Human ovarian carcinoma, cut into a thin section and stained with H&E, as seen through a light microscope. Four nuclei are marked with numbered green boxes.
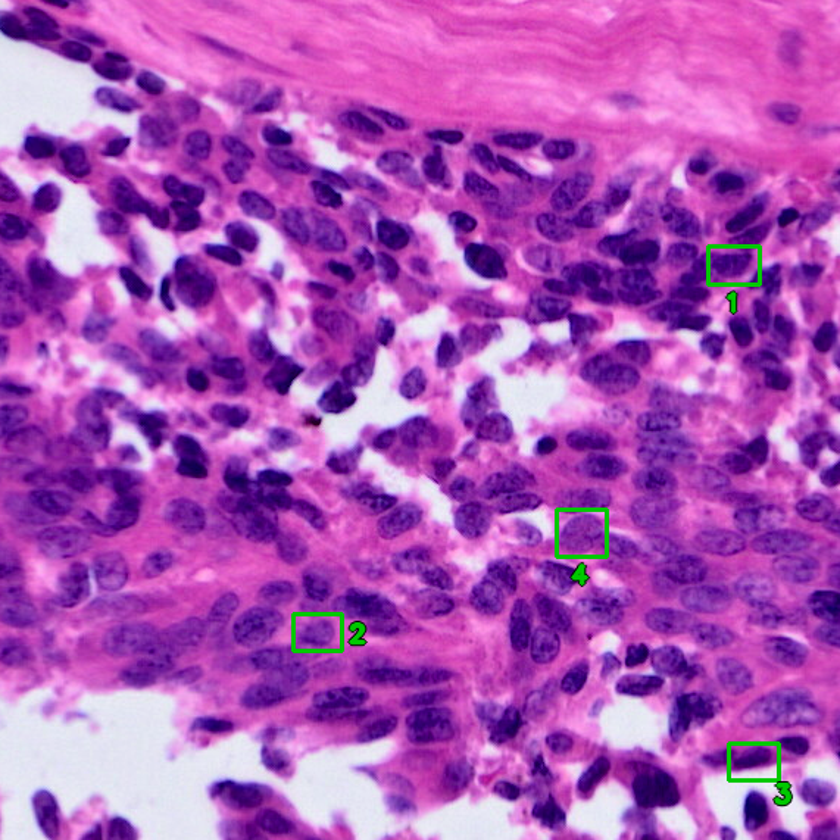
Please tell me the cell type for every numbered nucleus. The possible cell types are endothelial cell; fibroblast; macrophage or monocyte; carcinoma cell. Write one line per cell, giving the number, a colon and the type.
1: carcinoma cell
2: macrophage or monocyte
3: carcinoma cell
4: carcinoma cell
